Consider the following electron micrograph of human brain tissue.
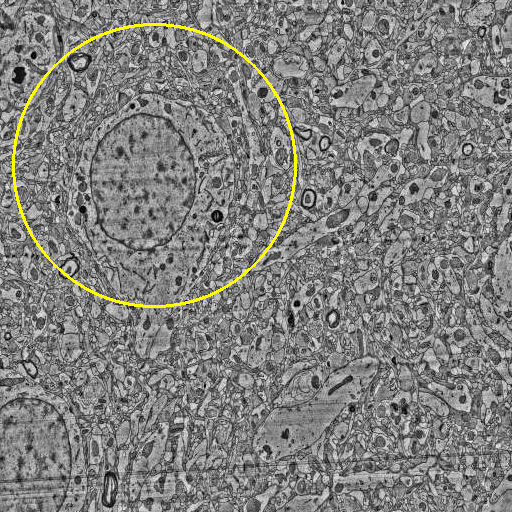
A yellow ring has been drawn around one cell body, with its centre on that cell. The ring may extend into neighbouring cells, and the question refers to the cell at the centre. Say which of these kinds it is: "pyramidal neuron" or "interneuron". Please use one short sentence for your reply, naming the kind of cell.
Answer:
The centre of the ring falls on a pyramidal neuron.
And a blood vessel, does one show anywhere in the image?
No, the image shows no blood vessel.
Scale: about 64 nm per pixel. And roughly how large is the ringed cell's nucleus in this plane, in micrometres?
Approximately 9 by 7 micrometers in this plane.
